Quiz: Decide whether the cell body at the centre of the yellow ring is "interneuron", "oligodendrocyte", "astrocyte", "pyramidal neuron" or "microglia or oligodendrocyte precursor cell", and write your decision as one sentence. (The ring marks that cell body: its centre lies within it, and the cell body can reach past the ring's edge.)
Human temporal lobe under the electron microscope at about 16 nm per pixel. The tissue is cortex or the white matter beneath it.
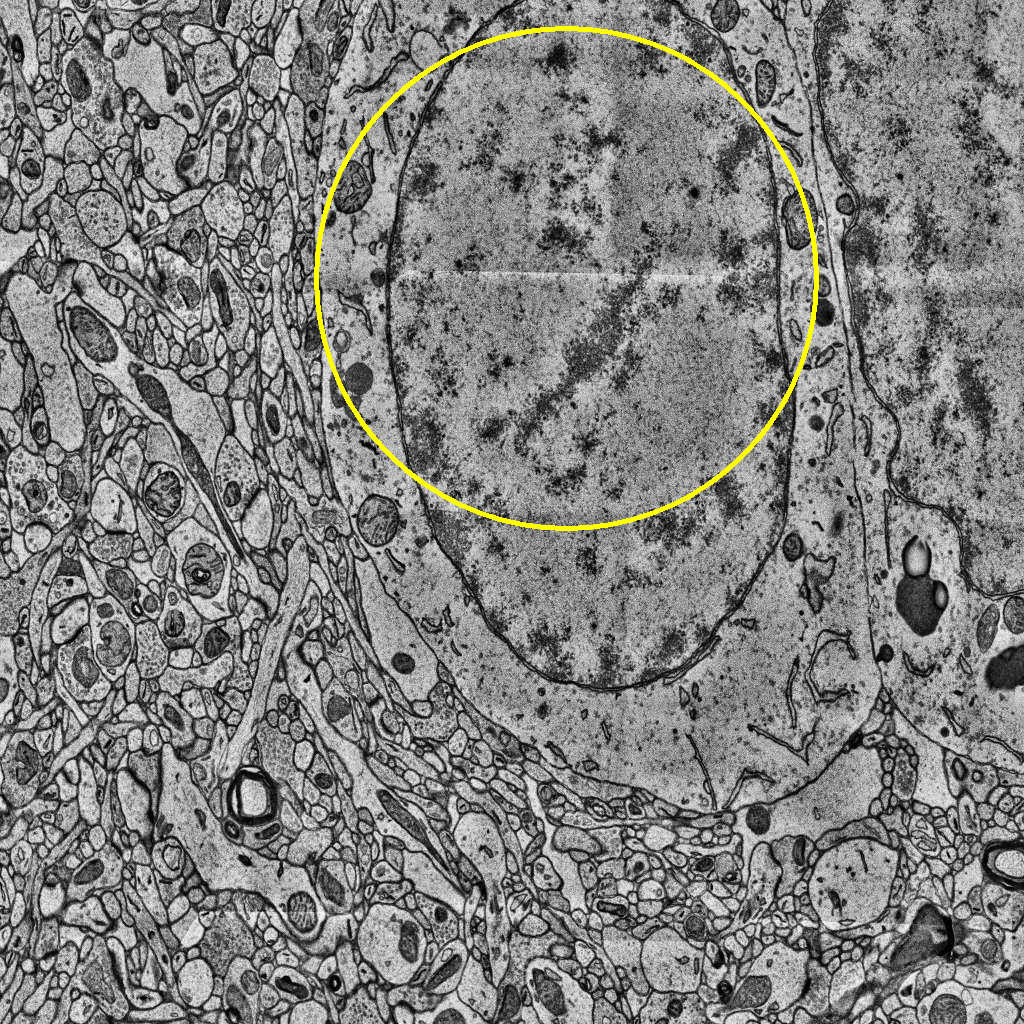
The cell holding the ring's centre is a pyramidal neuron.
